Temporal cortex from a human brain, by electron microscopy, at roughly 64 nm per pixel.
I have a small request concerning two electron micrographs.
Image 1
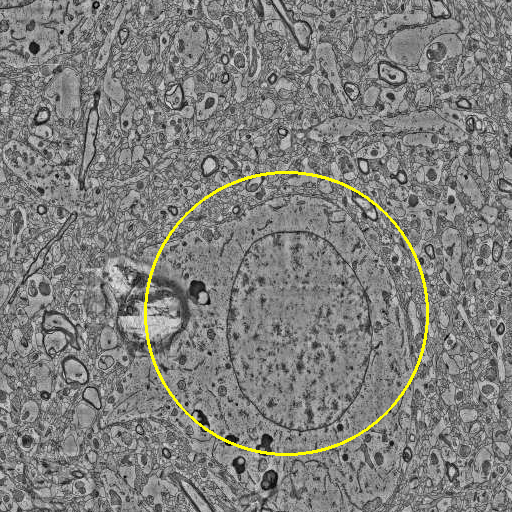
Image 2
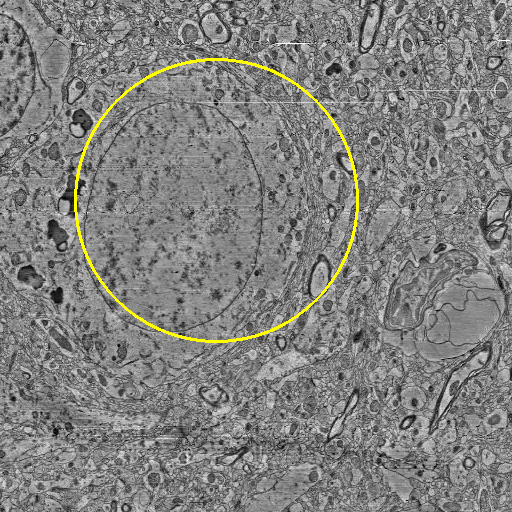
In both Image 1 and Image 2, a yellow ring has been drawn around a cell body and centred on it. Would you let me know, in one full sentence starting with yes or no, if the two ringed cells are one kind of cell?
Yes, the cells ringed in Image 1 and Image 2 are one kind of cell.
